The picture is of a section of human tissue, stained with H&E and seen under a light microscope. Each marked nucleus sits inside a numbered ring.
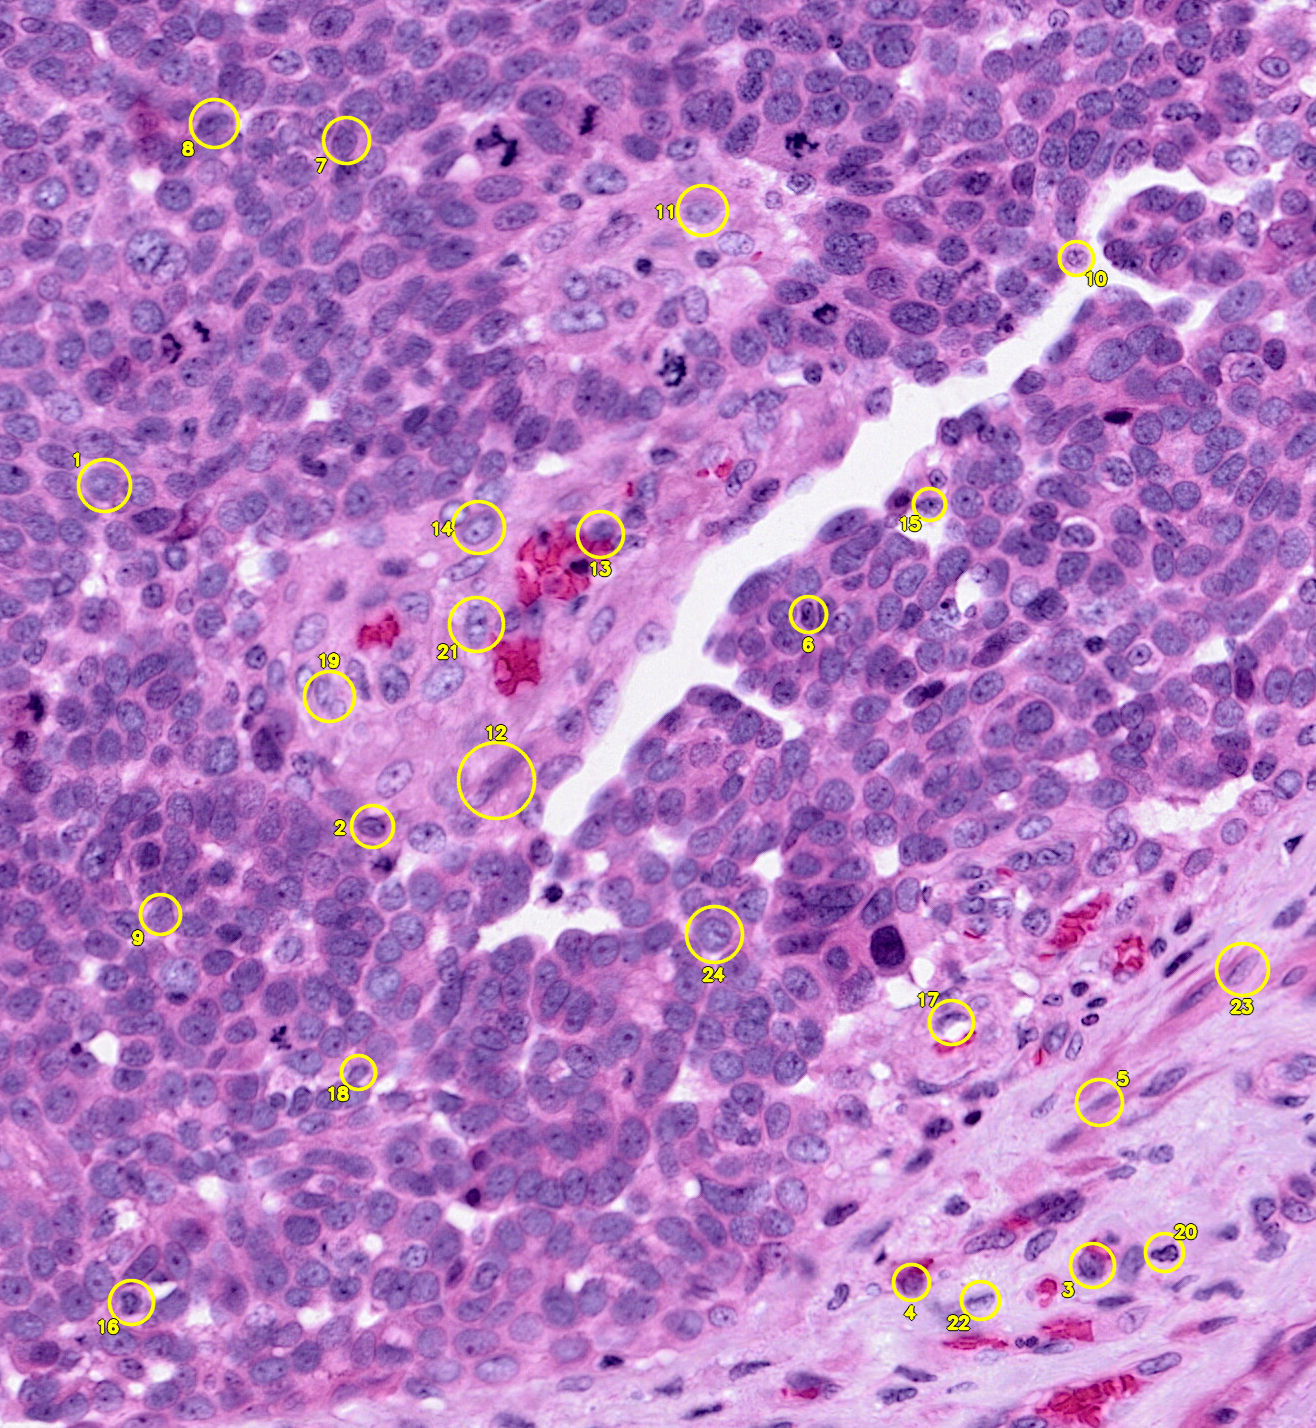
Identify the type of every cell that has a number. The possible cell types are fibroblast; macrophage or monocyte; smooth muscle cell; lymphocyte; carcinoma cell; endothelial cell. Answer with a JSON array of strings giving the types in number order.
["carcinoma cell", "macrophage or monocyte", "endothelial cell", "endothelial cell", "smooth muscle cell", "macrophage or monocyte", "carcinoma cell", "carcinoma cell", "carcinoma cell", "macrophage or monocyte", "fibroblast", "endothelial cell", "endothelial cell", "fibroblast", "macrophage or monocyte", "macrophage or monocyte", "endothelial cell", "macrophage or monocyte", "fibroblast", "lymphocyte", "fibroblast", "fibroblast", "smooth muscle cell", "carcinoma cell"]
